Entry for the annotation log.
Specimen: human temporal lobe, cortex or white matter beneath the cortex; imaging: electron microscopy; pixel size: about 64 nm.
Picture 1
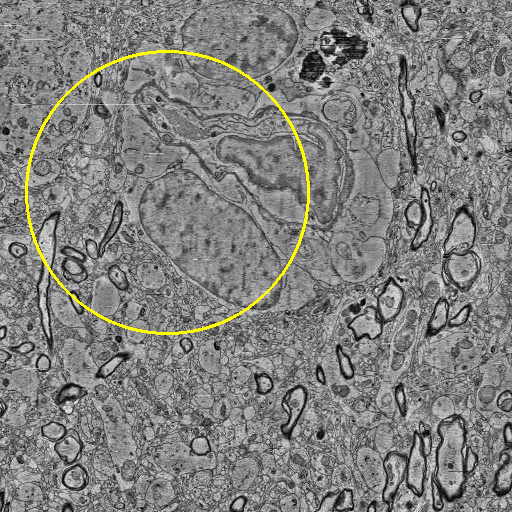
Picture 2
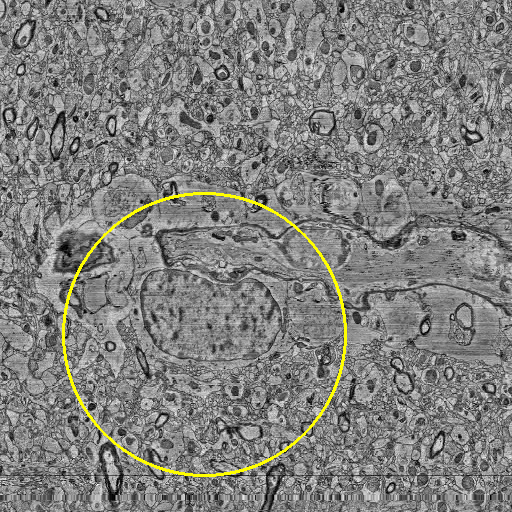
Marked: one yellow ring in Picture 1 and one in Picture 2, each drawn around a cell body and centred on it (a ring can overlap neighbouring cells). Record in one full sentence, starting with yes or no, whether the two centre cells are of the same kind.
Yes, both cells are of the same kind.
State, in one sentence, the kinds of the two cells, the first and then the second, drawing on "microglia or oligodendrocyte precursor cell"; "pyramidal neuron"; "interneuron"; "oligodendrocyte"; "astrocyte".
Each of the two pictures has a microglial cell or oligodendrocyte precursor cell at the ring centre.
